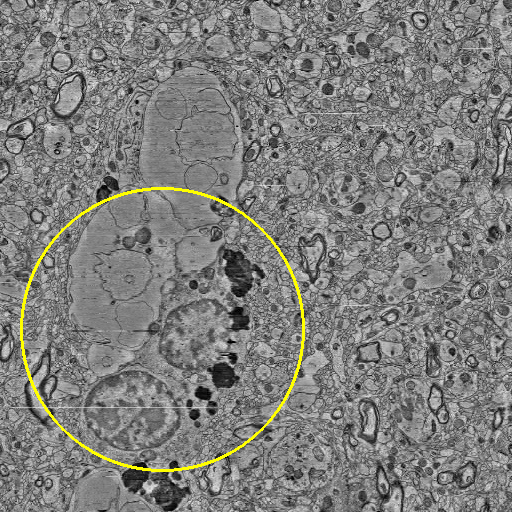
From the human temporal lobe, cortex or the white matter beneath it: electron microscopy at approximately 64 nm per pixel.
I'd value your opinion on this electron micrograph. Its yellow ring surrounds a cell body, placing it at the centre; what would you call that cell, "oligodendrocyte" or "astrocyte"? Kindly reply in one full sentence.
It is an oligodendrocyte that sits centred within the yellow ring in this micrograph.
